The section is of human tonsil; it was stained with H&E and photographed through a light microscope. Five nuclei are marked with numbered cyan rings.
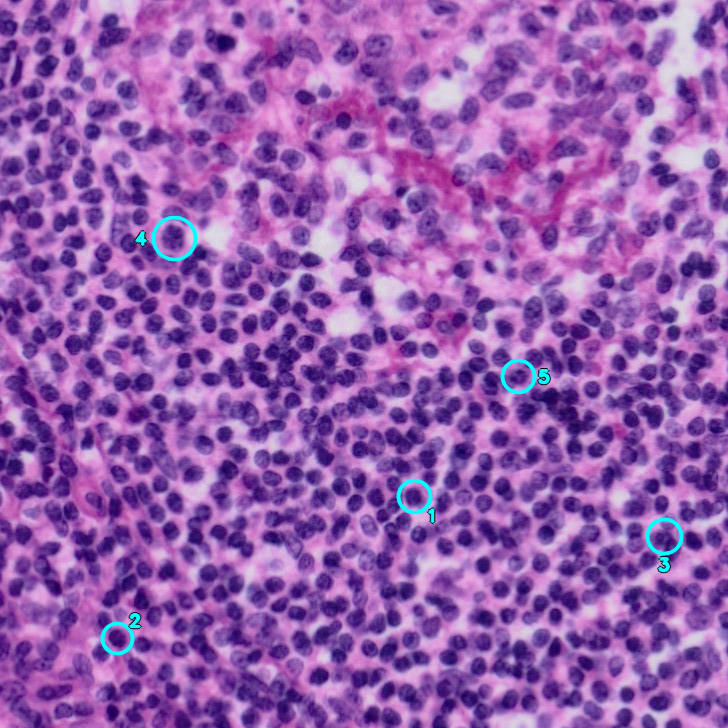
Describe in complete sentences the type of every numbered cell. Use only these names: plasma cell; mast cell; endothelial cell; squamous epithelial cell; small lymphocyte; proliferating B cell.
Cells 1, 3 and 5 are small lymphocytes. Cell 2 is a plasma cell. Cell 4 is a proliferating B cell.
